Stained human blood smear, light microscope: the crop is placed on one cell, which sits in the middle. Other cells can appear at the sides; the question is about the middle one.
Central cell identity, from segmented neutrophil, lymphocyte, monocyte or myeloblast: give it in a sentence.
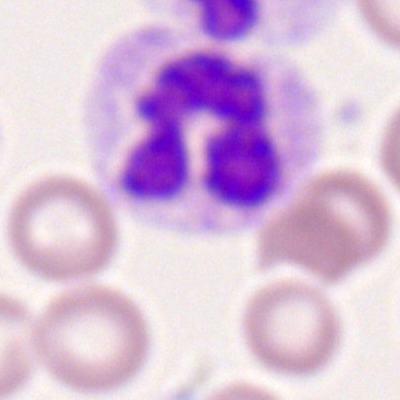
The cell at the middle of the frame should be recorded as a segmented neutrophil.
